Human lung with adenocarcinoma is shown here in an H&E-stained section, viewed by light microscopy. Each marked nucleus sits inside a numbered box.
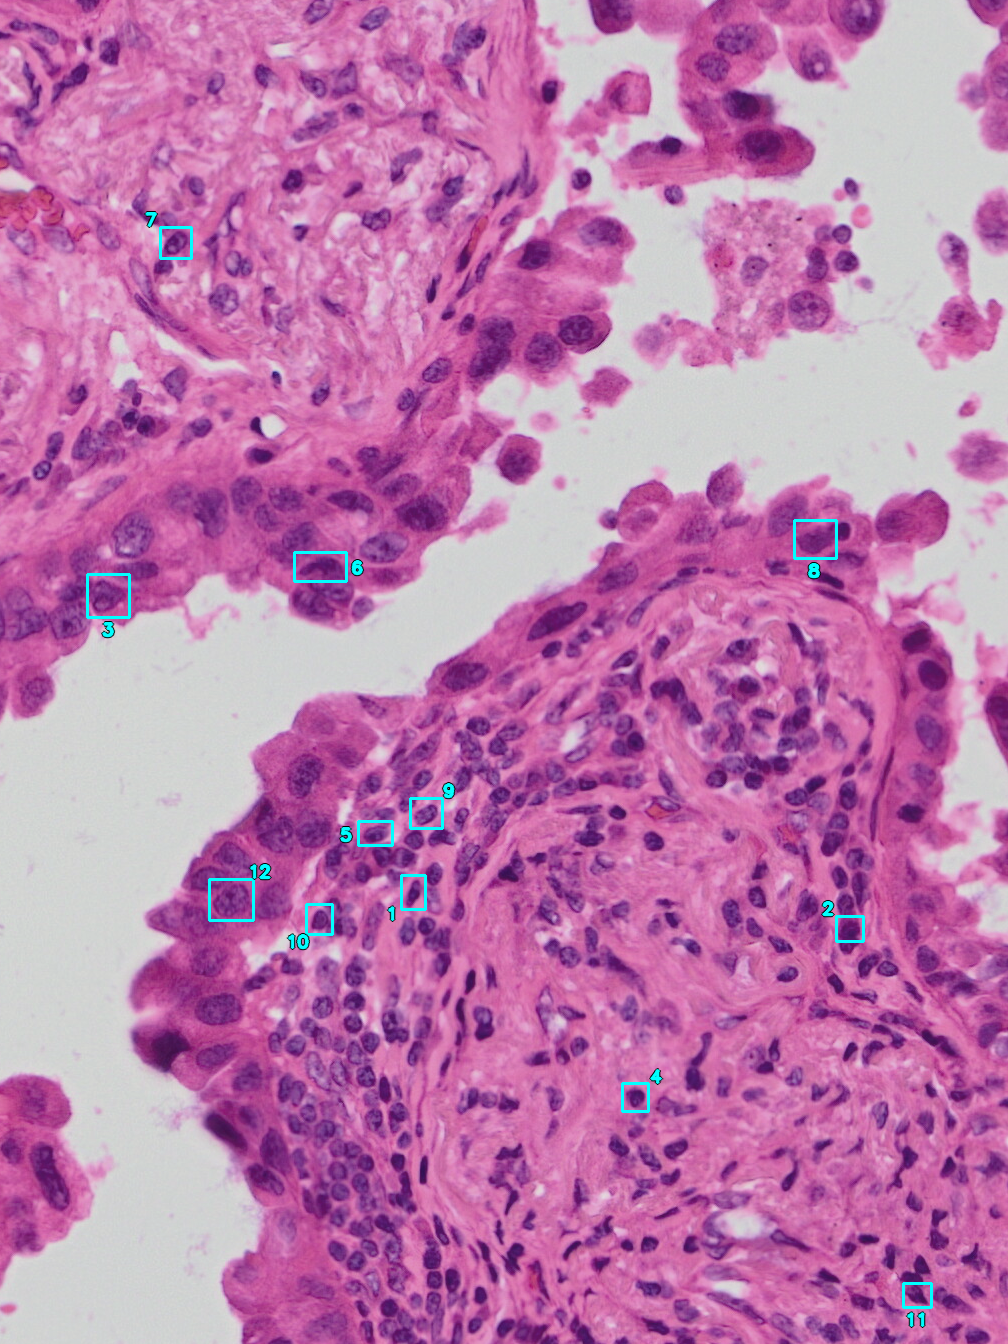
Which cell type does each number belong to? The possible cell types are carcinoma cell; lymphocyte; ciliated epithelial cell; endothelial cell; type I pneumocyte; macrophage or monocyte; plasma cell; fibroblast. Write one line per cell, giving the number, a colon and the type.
1: lymphocyte
2: plasma cell
3: carcinoma cell
4: lymphocyte
5: lymphocyte
6: carcinoma cell
7: plasma cell
8: carcinoma cell
9: lymphocyte
10: lymphocyte
11: plasma cell
12: carcinoma cell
